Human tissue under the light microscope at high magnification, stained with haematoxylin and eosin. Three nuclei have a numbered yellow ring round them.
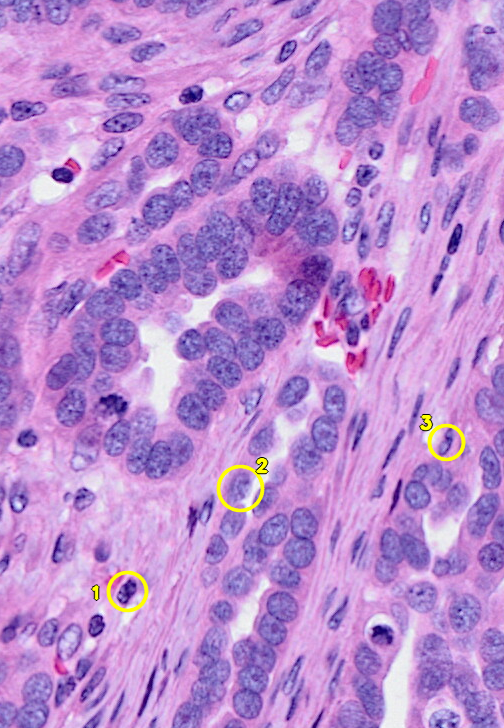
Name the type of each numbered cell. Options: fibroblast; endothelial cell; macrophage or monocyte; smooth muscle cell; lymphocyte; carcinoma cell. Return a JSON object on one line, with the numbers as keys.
{"1": "lymphocyte", "2": "carcinoma cell", "3": "fibroblast"}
